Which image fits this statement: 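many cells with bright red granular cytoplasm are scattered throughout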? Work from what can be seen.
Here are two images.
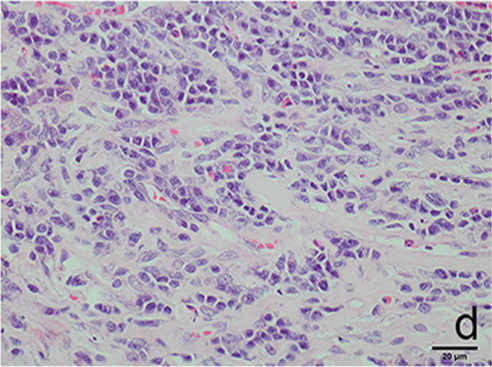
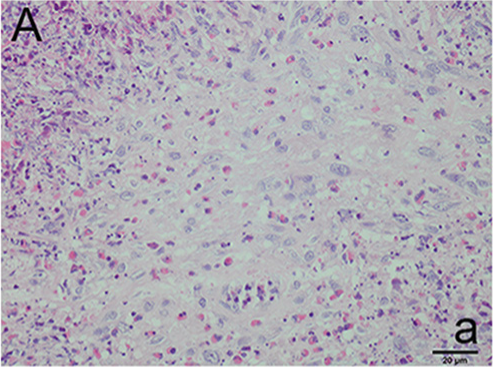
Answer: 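The second image. First image: dense purple round cells dominate, with few red granular cells. Second image: numerous bright red granular cells scattered through pale stroma.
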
